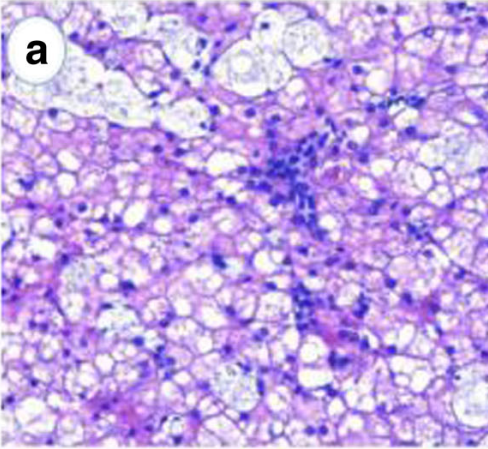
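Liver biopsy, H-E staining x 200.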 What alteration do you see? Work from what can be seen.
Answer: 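Large polygonal cells with pink cytoplasm crowded with many small clear vacuoles. The answer: finely vacuolated cytoplasm.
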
